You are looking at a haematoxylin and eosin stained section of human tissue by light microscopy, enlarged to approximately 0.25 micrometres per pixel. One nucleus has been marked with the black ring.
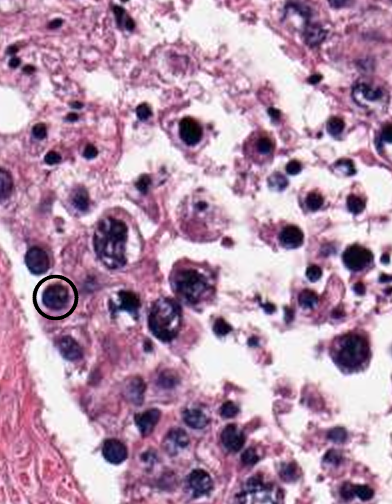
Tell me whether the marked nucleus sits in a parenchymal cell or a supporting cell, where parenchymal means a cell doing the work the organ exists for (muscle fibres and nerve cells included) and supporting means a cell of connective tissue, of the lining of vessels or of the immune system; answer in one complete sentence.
On this slide the marked nucleus belongs to a parenchymal cell, namely a spermatogonium.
